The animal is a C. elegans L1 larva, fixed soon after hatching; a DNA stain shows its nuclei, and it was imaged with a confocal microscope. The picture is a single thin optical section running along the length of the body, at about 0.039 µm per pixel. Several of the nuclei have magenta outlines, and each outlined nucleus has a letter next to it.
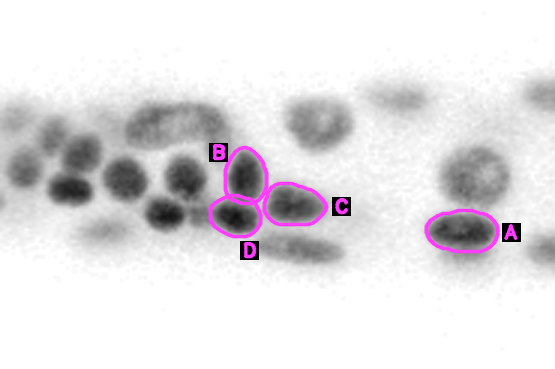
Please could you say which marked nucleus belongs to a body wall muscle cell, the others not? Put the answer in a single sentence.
A is the nucleus of a body wall muscle cell.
